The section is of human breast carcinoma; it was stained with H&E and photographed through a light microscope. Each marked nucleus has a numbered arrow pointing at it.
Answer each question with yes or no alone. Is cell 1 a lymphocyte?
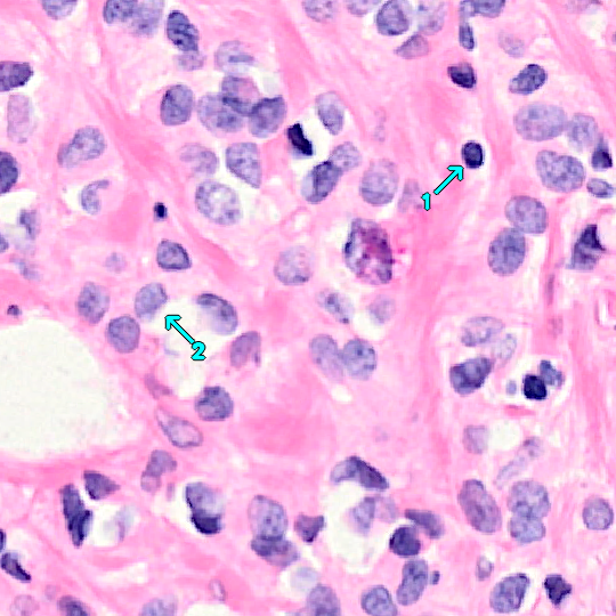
yes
